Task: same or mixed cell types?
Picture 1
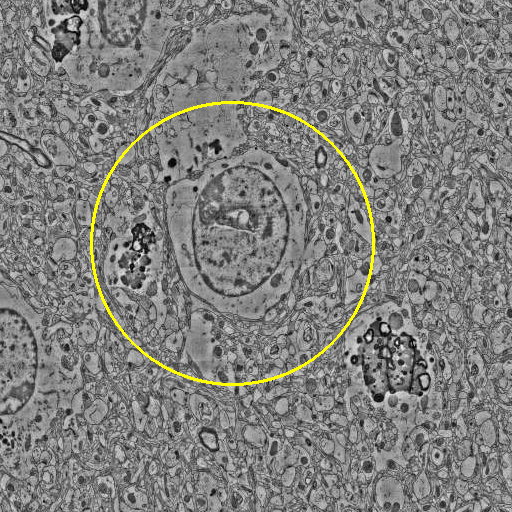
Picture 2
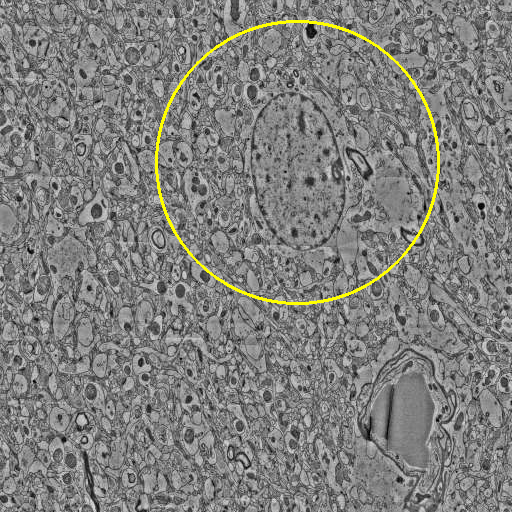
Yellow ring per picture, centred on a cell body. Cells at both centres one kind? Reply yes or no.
yes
